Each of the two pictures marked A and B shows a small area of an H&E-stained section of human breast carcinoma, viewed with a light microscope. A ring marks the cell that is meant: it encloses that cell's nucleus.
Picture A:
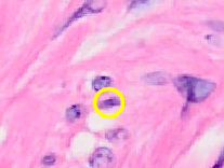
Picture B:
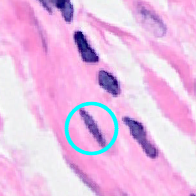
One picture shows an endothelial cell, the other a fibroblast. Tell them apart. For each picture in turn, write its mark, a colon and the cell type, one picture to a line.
A: endothelial cell
B: fibroblast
